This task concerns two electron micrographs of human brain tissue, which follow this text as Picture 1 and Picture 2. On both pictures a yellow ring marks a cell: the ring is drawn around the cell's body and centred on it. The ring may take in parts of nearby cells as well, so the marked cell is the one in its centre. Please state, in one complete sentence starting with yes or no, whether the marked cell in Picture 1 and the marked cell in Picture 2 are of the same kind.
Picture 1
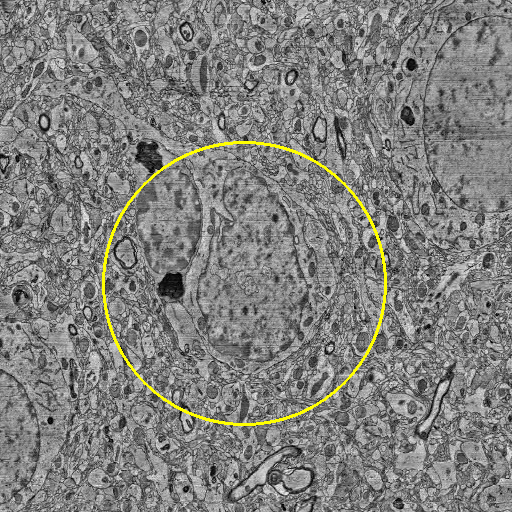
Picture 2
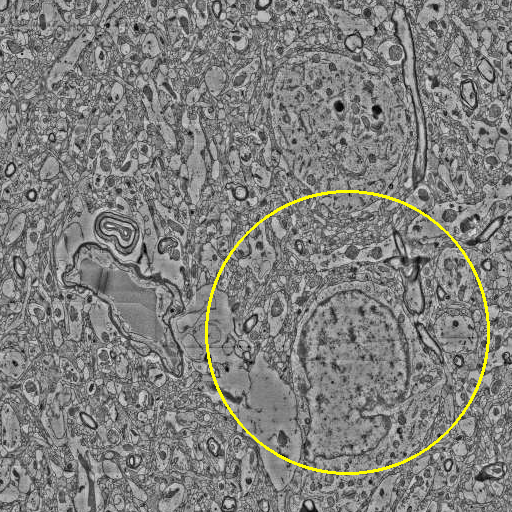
Yes, the marked cells in both pictures are of the same kind.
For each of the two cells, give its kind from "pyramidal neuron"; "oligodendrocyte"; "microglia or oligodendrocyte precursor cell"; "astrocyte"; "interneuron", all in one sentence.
In both pictures the ring is centred on an interneuron.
